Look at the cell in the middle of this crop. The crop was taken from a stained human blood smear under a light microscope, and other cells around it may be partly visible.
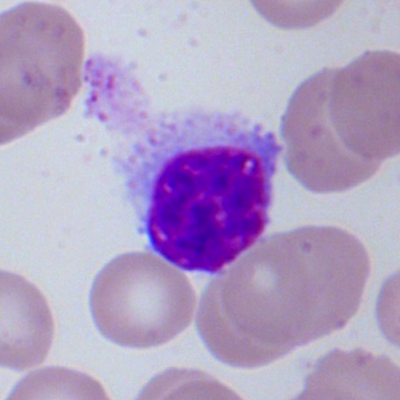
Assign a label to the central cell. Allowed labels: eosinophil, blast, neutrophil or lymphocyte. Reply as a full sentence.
The cell in the middle of the field of view is a lymphocyte.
